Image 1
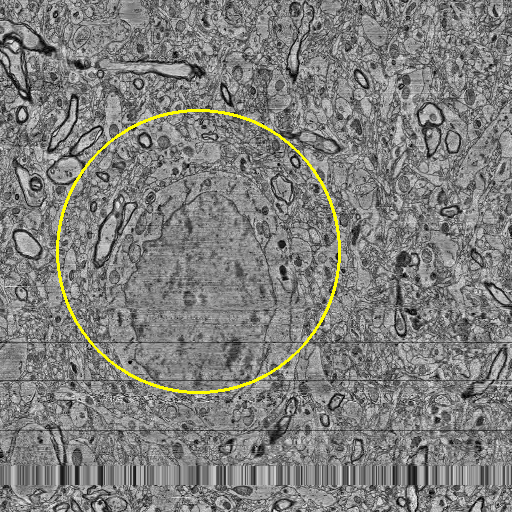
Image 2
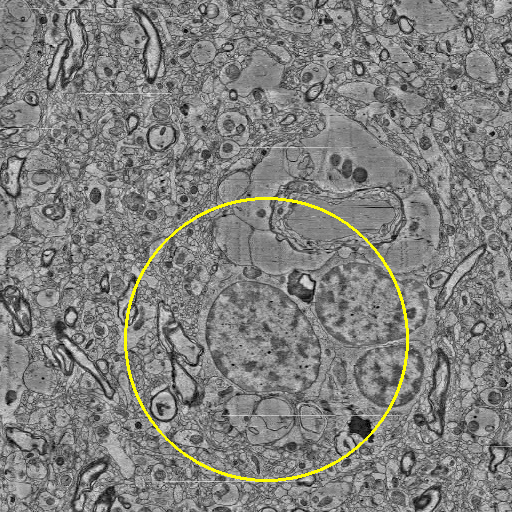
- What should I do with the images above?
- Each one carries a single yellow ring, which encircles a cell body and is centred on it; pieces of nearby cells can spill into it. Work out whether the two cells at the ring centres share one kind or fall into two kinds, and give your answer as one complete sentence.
The ring-centre cells of Image 1 and Image 2 fall into two kinds.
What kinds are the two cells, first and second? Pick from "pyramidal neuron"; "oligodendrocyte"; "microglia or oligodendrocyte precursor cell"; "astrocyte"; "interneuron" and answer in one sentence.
The second picture holds an oligodendrocyte in its ring, and the first holds an interneuron.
